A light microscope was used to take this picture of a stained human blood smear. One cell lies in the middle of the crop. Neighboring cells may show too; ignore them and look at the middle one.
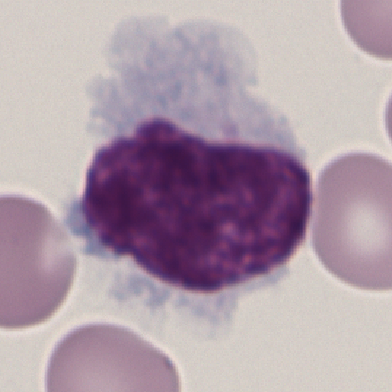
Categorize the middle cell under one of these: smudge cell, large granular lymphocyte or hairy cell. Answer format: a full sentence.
To answer, the cell in the center of the crop is a hairy cell.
